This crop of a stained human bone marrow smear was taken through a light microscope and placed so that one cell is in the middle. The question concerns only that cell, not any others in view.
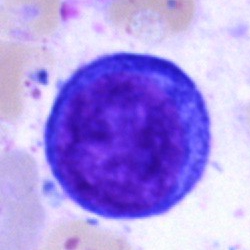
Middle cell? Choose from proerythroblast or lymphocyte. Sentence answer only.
The cell in the middle of the field of view is a proerythroblast.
